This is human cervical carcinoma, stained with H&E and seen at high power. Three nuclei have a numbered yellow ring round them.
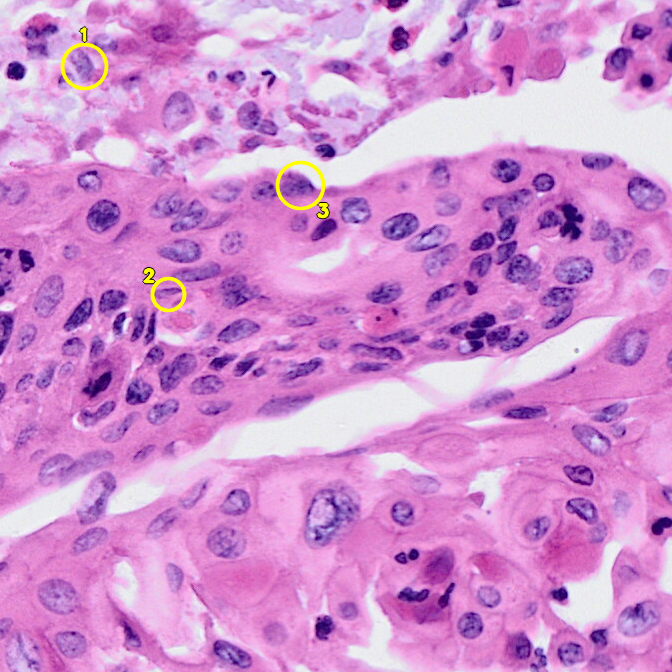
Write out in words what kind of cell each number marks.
Cell 1 is a fibroblast, cell 2 is a squamous carcinoma cell and cell 3 is a squamous carcinoma cell.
